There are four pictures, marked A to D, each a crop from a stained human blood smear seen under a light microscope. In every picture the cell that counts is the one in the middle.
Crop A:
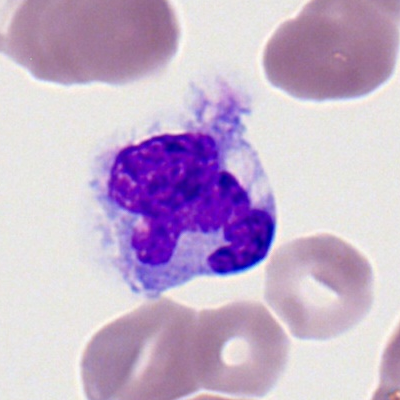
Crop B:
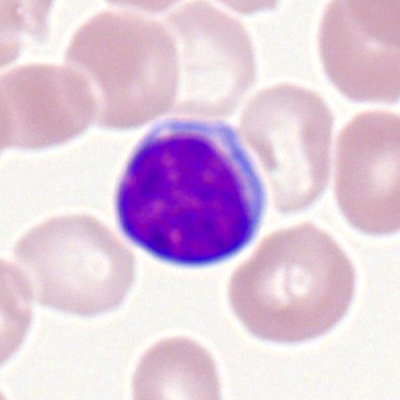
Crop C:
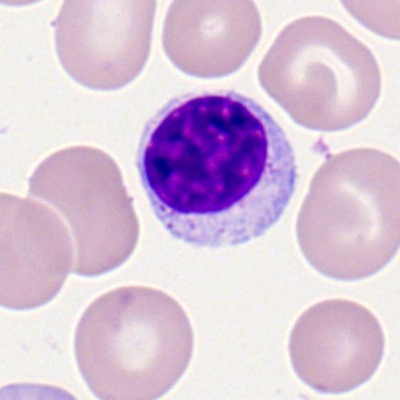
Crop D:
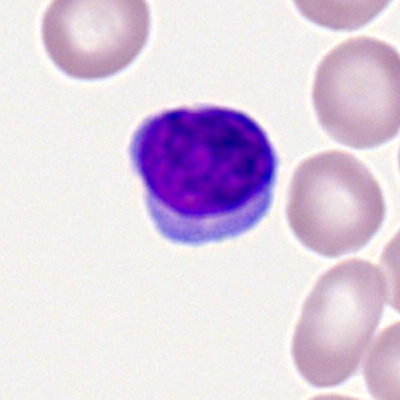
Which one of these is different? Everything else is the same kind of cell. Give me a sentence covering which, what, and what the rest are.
Crop A is the one to flag: it is a monocyte, and the rest show lymphocytes.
